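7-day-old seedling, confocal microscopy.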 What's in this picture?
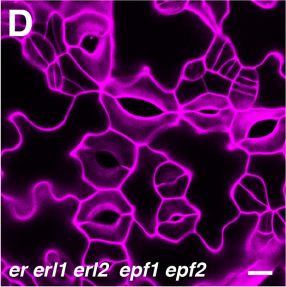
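Leaf epidermis with large, wavy-walled jigsaw-shaped pavement cells outlined in magenta, interspersed with many stomata. Each stoma consists of two kidney-shaped guard cells enclosing a central slit-like pore. Several stomata lie close together or in direct contact, surrounded by small, narrow neighbouring cells, leaving patches of pavement cells in between.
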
